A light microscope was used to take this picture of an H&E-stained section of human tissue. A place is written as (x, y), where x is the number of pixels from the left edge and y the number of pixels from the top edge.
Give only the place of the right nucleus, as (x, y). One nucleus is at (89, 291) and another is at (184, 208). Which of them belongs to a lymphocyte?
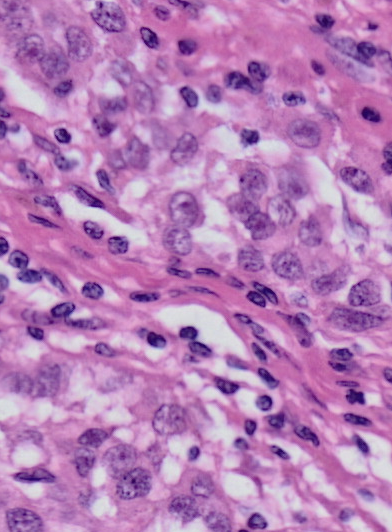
(89, 291)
